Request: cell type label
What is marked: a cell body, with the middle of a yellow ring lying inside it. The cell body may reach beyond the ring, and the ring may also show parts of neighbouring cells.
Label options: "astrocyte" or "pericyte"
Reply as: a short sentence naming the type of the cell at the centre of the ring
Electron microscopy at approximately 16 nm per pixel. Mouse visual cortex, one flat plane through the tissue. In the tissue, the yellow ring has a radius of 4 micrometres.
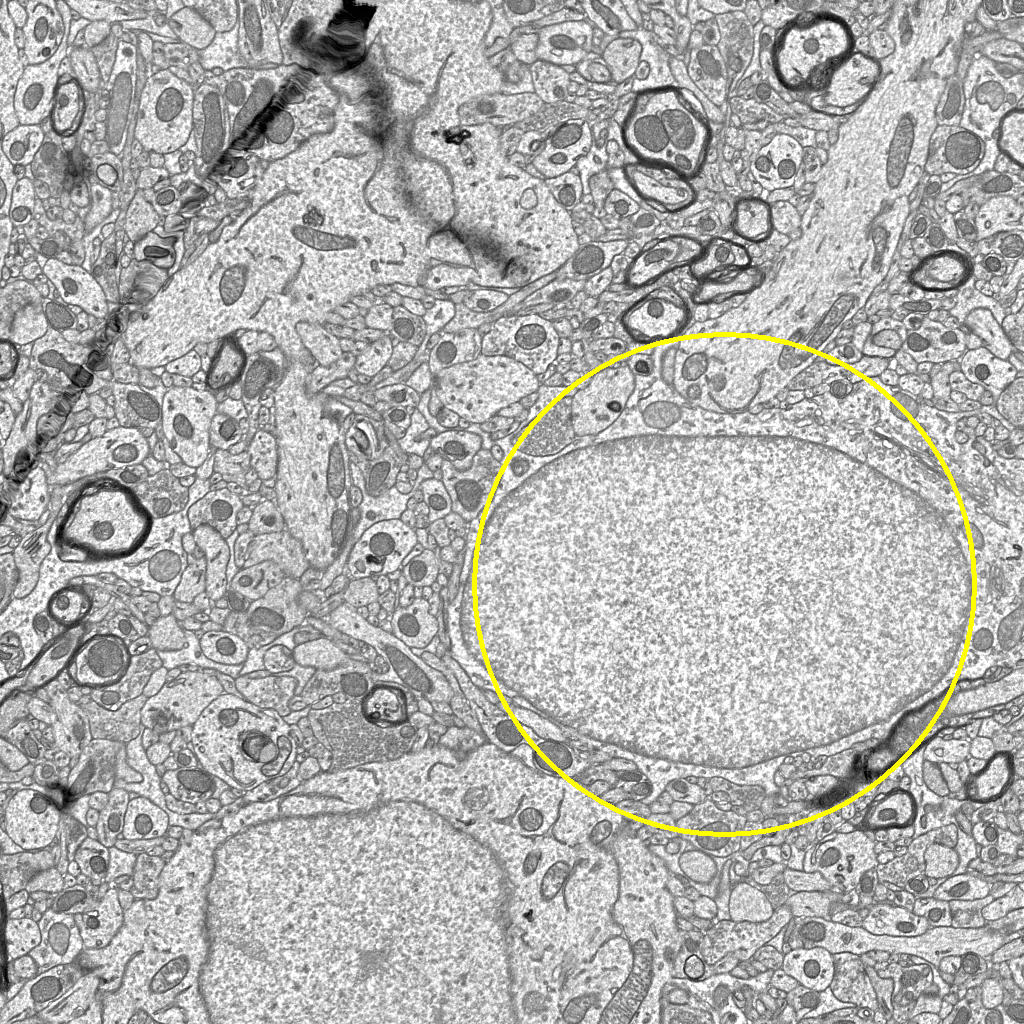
The marked cell body is that of an astrocyte.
